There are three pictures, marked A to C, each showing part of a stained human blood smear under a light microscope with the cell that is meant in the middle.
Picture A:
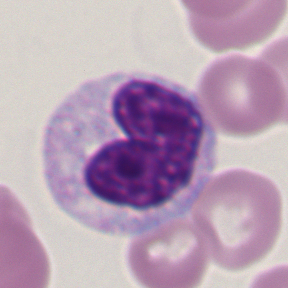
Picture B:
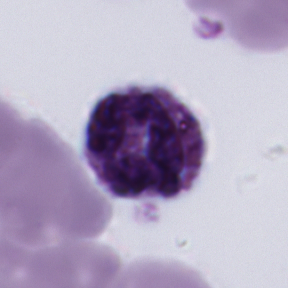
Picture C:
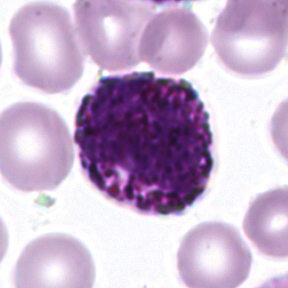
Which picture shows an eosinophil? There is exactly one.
B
